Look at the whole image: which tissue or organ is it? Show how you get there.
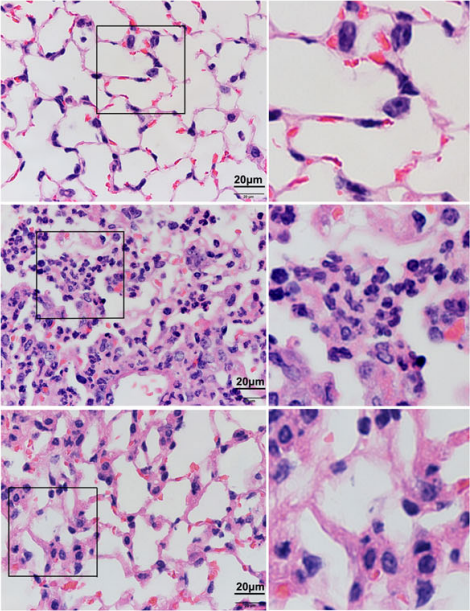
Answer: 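Thin septa outline open, empty air spaces in the upper row. The thin walls carry flattened nuclei and small red blood cells. On this evidence: lung tissues.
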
